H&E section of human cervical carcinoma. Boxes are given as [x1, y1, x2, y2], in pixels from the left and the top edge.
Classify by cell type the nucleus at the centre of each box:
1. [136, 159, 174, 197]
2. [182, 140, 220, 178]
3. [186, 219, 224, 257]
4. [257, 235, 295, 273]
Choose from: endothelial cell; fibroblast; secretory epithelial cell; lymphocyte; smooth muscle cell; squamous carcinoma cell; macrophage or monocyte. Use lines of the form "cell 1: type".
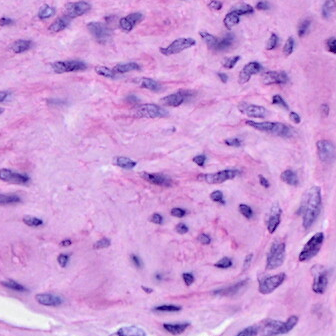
cell 1: smooth muscle cell
cell 2: smooth muscle cell
cell 3: smooth muscle cell
cell 4: fibroblast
